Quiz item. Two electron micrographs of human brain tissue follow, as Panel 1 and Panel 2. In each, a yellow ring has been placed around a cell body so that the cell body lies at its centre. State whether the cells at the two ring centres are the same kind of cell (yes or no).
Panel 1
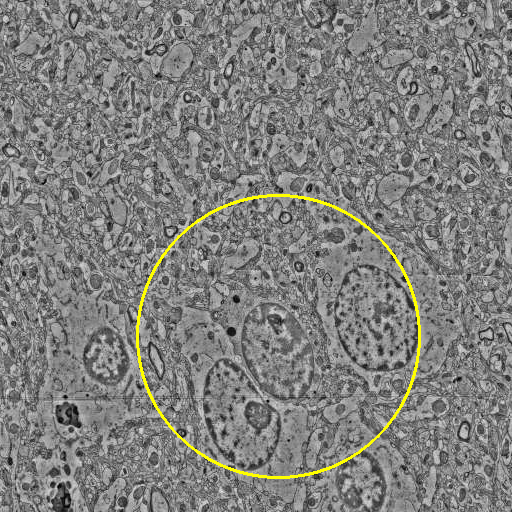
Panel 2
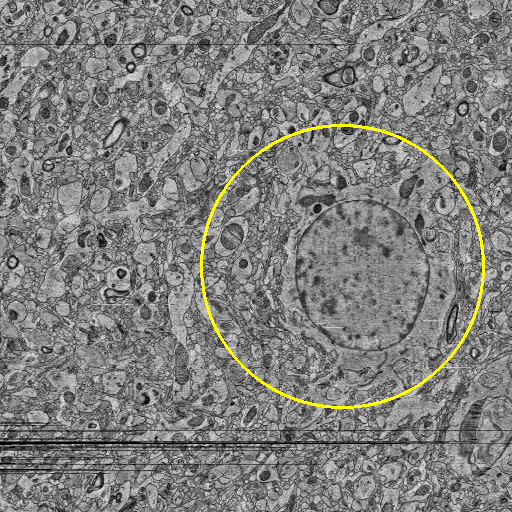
no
